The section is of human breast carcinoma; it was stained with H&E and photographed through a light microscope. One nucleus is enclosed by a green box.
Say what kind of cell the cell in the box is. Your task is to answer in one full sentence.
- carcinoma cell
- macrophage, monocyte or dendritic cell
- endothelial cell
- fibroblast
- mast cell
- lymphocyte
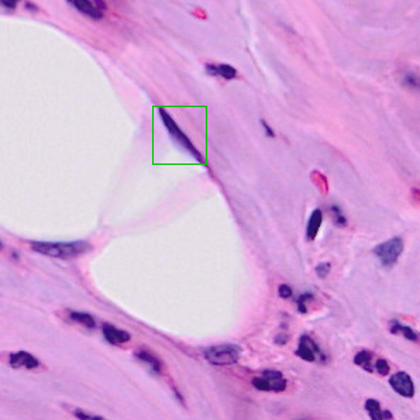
As a matter of cell type, the cell in the box is a fibroblast.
